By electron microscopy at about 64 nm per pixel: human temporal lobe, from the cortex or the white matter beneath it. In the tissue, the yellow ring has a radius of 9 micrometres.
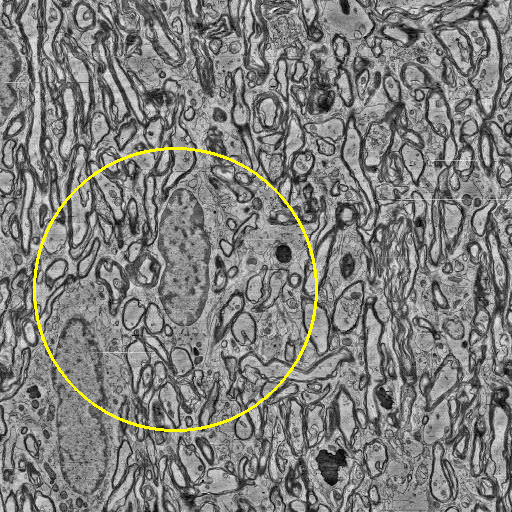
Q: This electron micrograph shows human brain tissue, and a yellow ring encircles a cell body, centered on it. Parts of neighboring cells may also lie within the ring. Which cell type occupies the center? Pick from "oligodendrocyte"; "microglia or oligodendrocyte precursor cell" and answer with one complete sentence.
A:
What sits at the ring's center in this micrograph is a microglial cell or oligodendrocyte precursor cell, among those choices.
